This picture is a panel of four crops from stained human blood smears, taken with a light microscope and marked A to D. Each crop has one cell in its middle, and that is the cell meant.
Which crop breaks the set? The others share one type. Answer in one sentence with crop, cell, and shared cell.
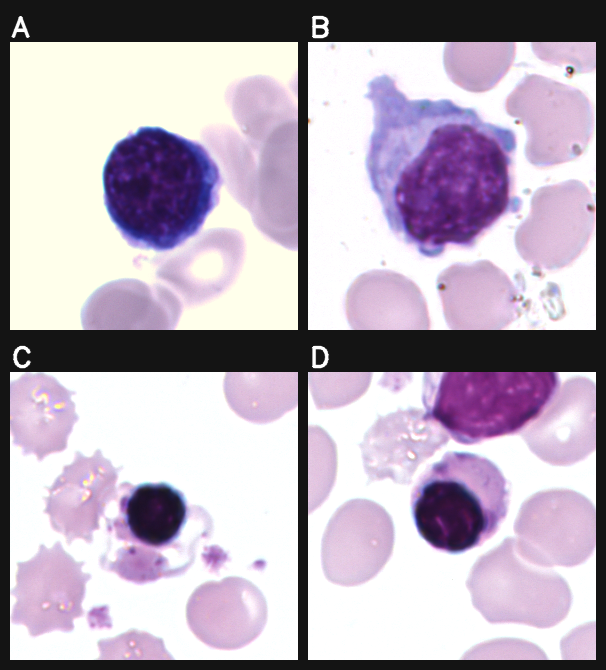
Crop B is singled out as a plasma cell, and all of the other crops show normoblasts.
